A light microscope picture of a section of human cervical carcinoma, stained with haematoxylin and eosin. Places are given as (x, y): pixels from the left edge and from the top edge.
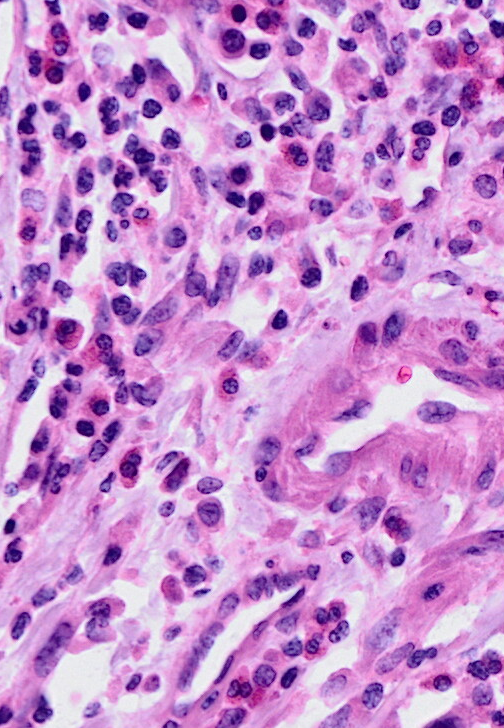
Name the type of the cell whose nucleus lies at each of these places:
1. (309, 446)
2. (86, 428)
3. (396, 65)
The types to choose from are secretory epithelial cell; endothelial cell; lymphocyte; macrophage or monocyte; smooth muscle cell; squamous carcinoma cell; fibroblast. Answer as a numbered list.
1. endothelial cell
2. lymphocyte
3. lymphocyte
